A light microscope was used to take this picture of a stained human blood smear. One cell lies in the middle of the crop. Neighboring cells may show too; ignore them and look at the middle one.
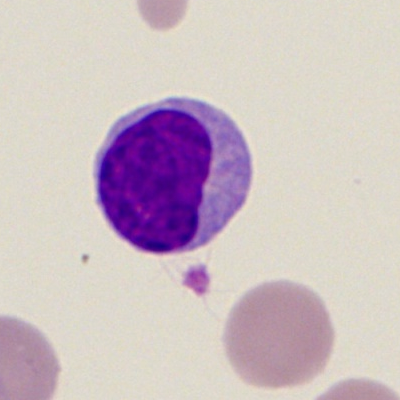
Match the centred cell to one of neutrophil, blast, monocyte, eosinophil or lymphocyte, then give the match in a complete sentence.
The cell featured at the centre of this crop is a lymphocyte.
